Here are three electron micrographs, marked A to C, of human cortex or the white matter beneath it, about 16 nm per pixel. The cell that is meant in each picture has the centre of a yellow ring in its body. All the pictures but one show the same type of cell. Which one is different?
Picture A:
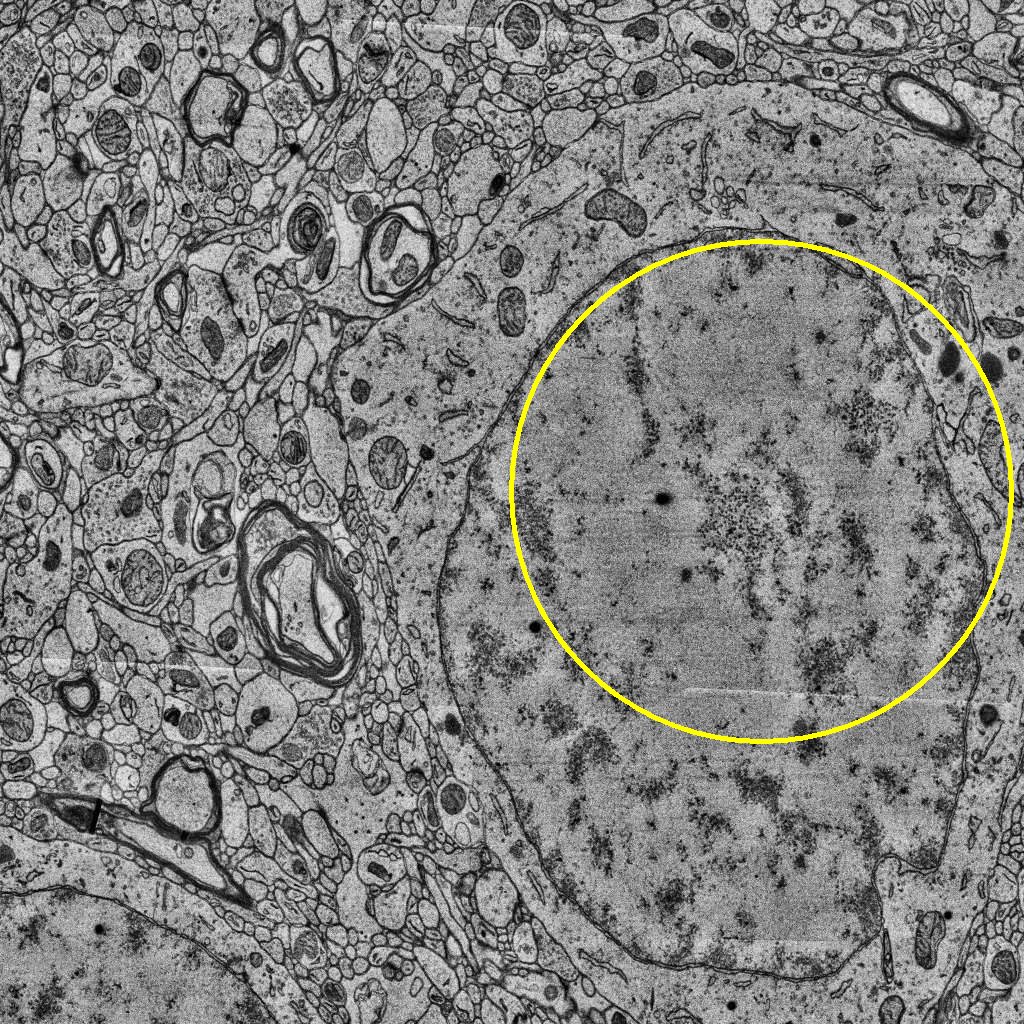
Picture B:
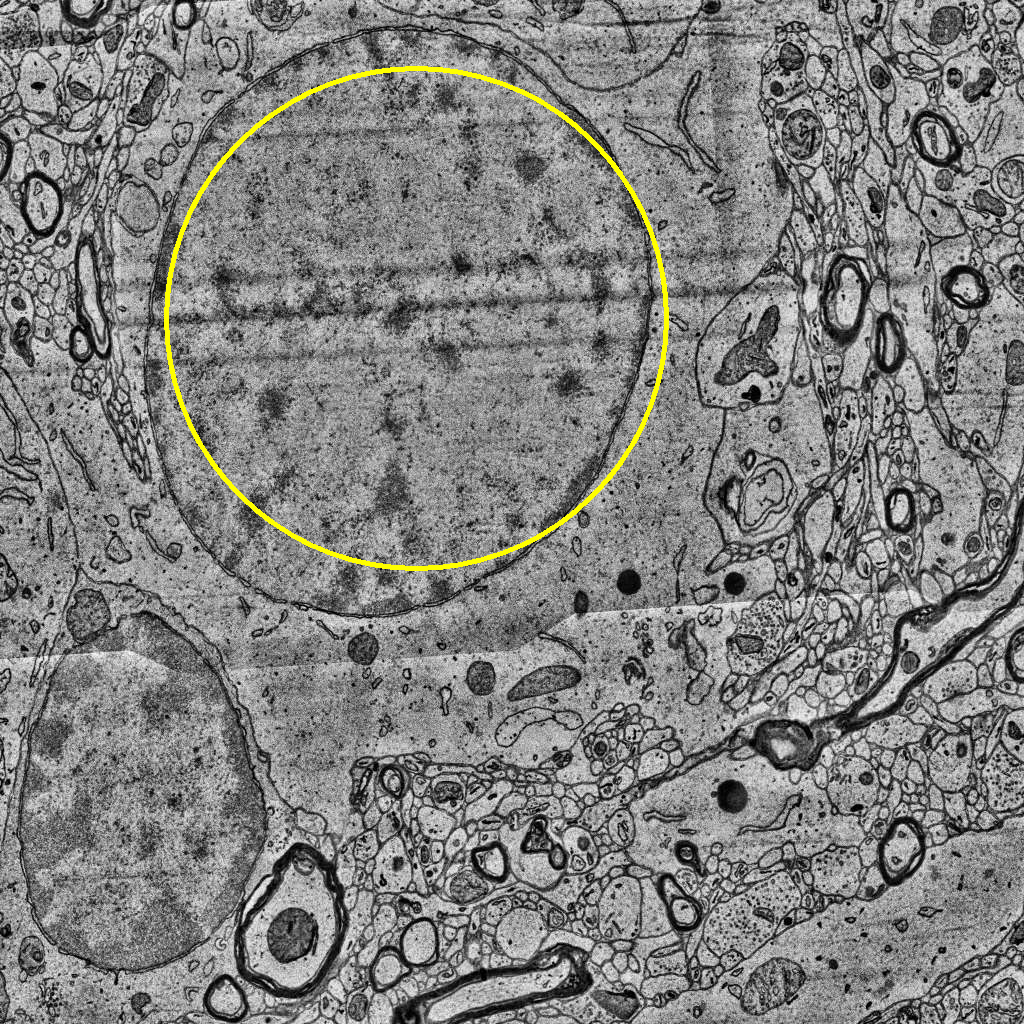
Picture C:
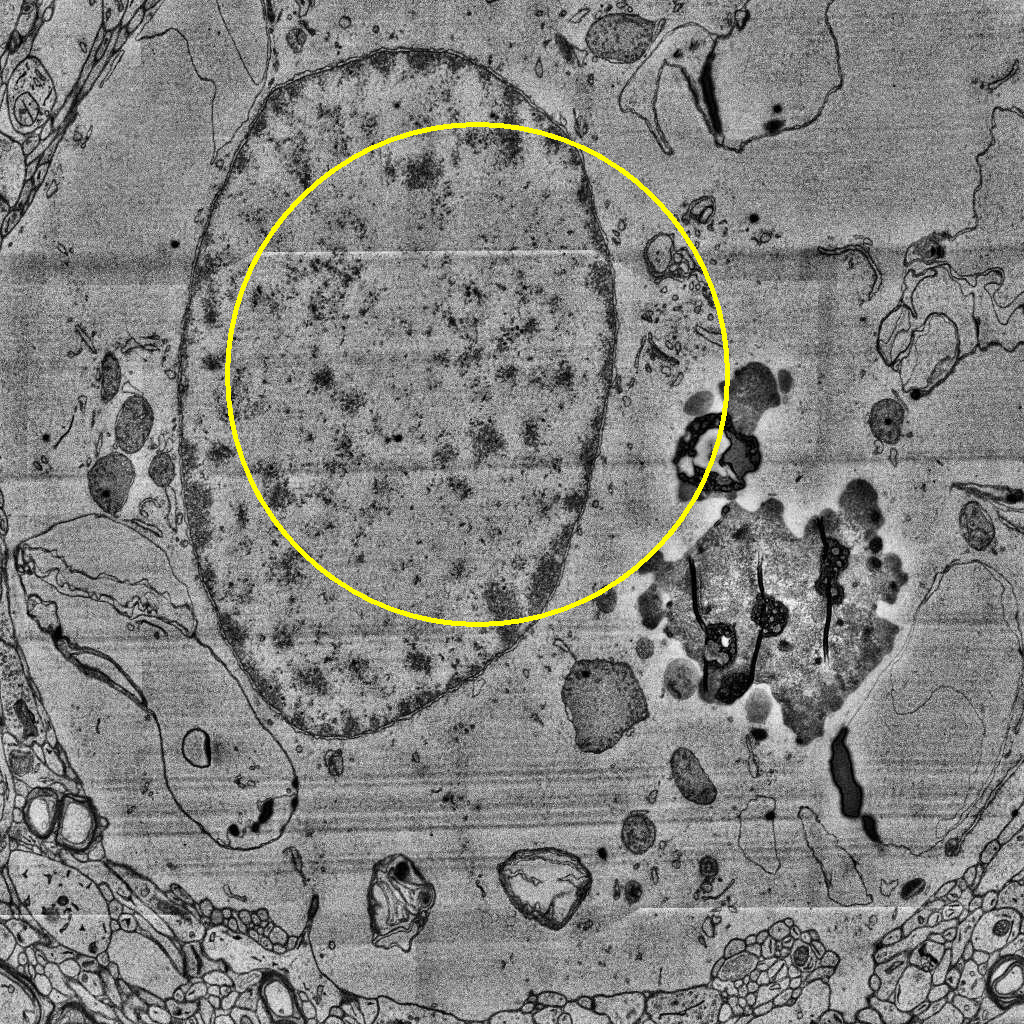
All pictures except A show astrocytes; picture A shows a pyramidal neuron.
